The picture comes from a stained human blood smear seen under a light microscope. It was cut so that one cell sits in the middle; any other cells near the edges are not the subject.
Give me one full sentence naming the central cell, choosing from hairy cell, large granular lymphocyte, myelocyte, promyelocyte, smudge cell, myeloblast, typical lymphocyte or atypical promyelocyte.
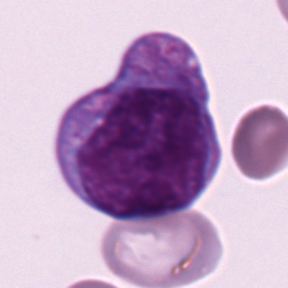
The central element of this crop is a cell, namely an atypical promyelocyte.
